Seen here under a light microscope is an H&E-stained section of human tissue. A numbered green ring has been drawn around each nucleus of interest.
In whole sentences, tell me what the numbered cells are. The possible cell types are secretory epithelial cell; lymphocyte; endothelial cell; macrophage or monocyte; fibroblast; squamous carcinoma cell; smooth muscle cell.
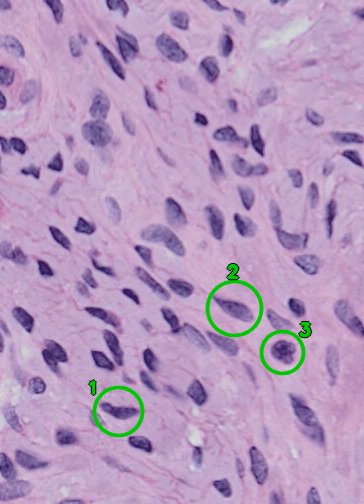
Cell 1 is a fibroblast, cell 2 is a fibroblast and cell 3 is a lymphocyte.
